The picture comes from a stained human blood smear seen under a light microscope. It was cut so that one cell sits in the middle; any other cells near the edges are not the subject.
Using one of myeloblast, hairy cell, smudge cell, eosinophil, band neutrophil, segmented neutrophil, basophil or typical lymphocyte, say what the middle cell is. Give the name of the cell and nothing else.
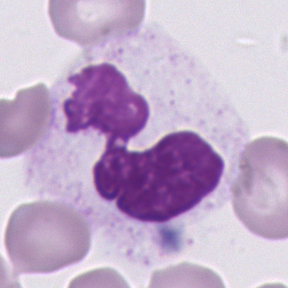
segmented neutrophil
